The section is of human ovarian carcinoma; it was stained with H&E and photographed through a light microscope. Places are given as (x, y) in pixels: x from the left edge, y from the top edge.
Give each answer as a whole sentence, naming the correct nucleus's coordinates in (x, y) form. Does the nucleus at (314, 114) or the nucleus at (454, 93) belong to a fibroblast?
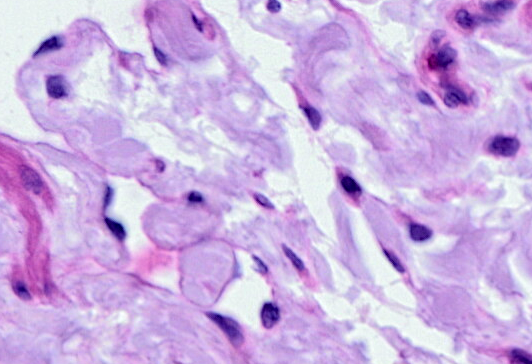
Of the two, the nucleus lying at (314, 114) is the one belonging to a fibroblast.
